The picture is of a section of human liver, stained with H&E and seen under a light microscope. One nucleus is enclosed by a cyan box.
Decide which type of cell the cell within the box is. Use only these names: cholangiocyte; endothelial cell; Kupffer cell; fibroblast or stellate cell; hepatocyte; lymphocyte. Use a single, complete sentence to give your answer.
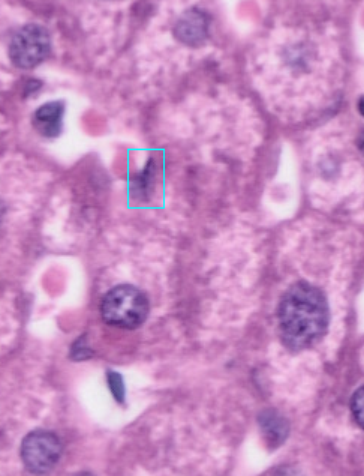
In this tissue sample, the cell within the box is an endothelial cell.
